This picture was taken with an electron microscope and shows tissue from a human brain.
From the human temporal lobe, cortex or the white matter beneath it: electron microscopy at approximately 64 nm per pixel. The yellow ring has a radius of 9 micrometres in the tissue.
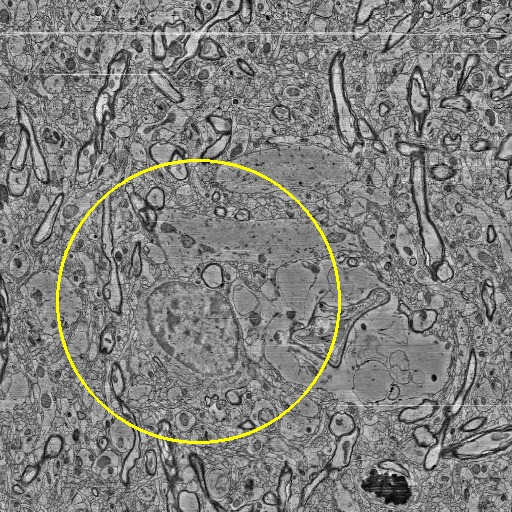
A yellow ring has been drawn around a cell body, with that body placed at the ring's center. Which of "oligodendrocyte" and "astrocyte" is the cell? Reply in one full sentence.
In this picture, an oligodendrocyte is the cell at the center of the yellow ring.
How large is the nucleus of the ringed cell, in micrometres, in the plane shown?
In this plane, the nucleus of the cell at the centre of the ring measures about 7 by 5 micrometres.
